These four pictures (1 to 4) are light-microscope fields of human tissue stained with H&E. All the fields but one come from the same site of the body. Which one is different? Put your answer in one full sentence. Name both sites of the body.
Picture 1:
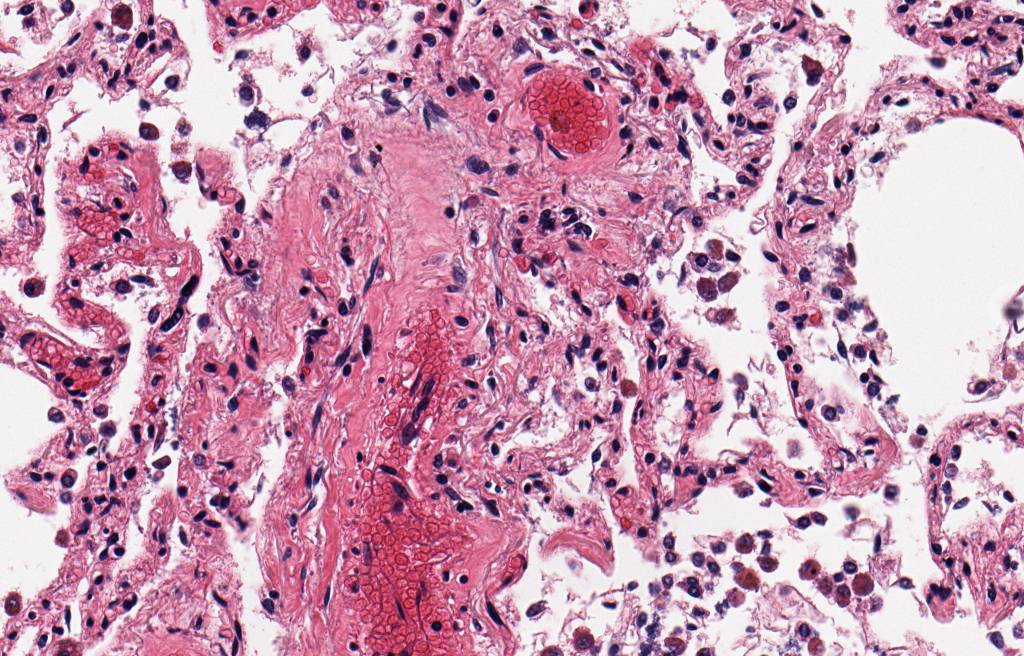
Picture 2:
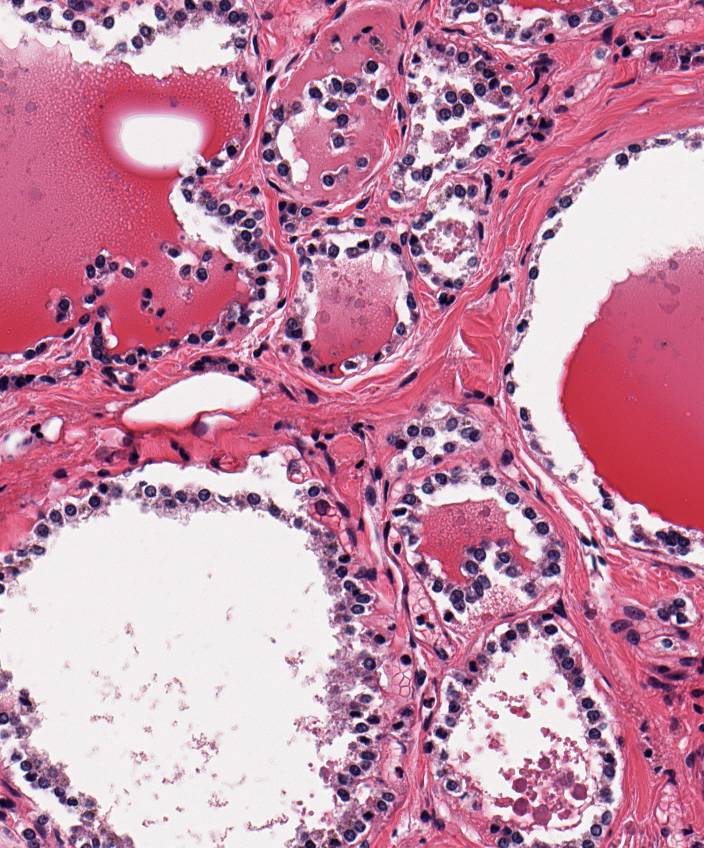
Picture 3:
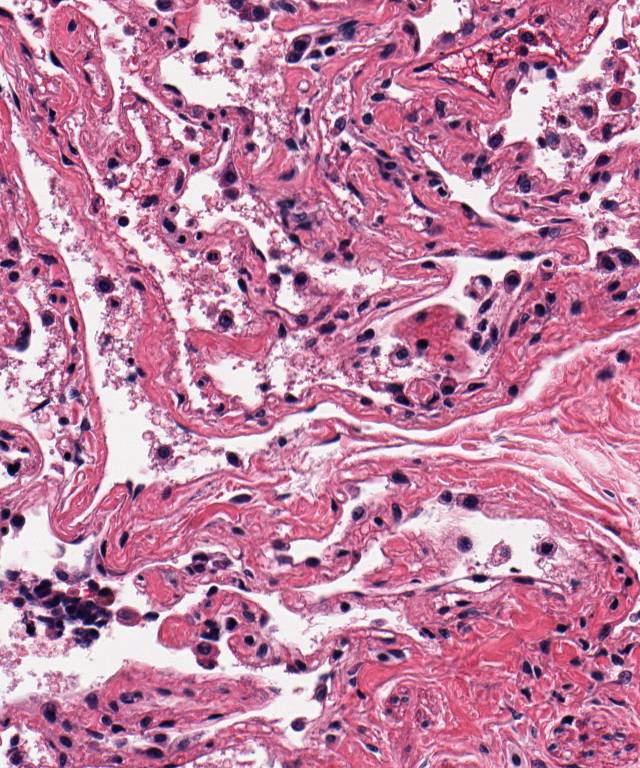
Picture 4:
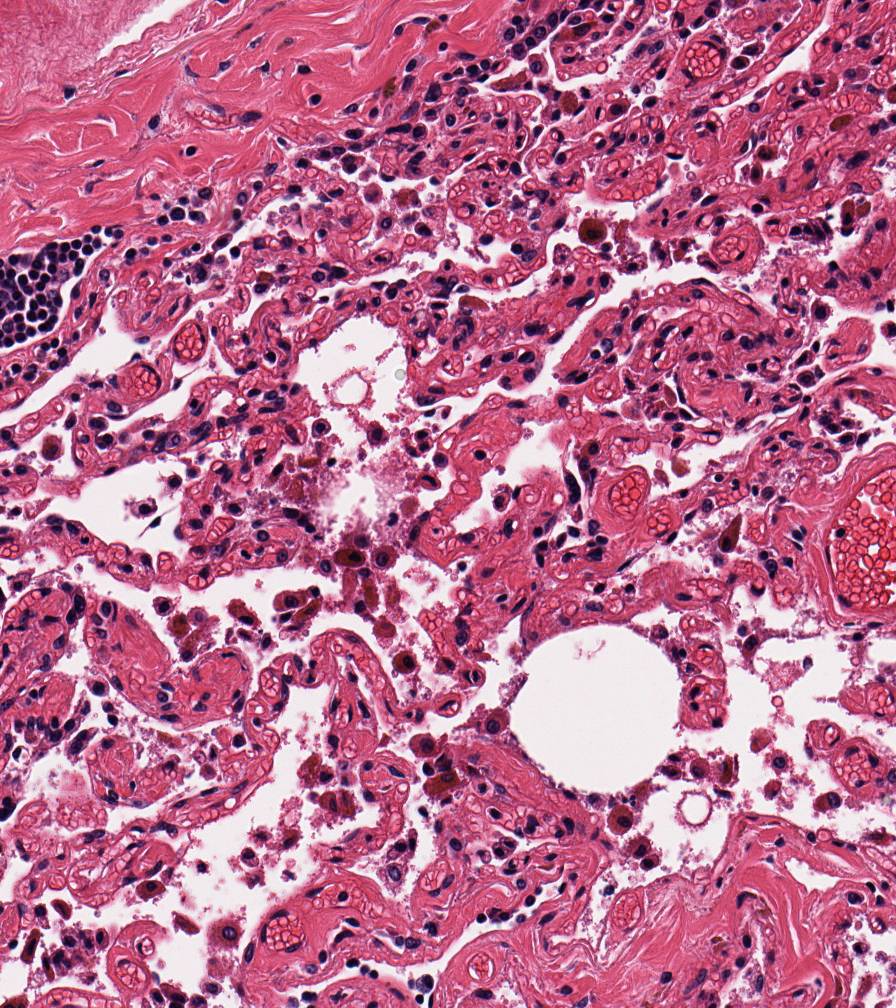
Unlike the rest, which come from the lung, picture 2 comes from the thyroid.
